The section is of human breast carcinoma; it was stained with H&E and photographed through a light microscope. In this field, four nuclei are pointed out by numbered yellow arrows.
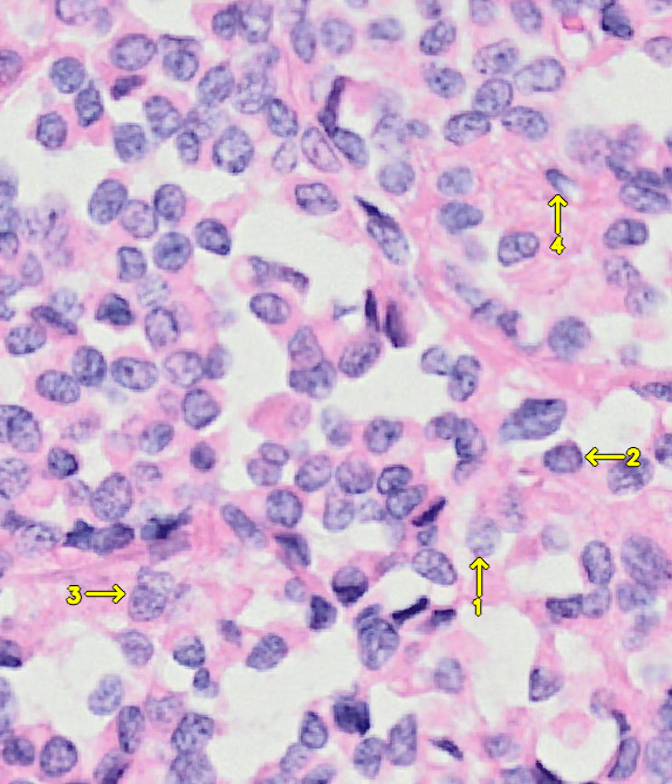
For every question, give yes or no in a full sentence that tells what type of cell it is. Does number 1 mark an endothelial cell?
No, number 1 is not an endothelial cell but a carcinoma cell.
